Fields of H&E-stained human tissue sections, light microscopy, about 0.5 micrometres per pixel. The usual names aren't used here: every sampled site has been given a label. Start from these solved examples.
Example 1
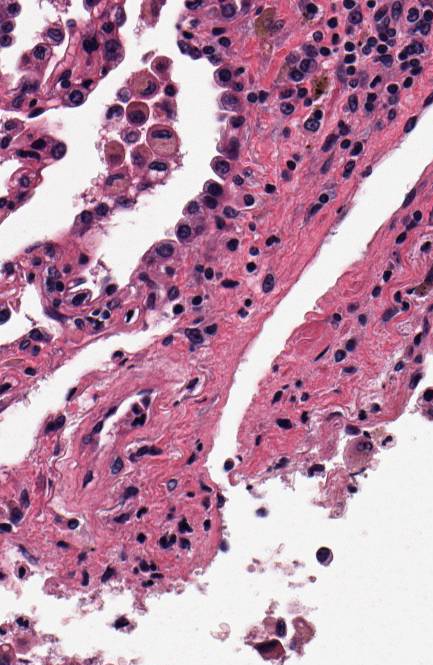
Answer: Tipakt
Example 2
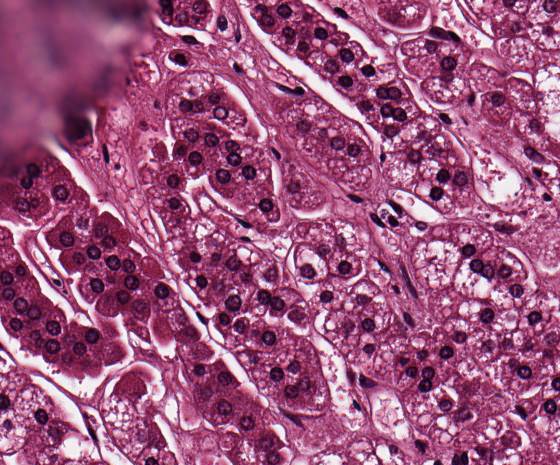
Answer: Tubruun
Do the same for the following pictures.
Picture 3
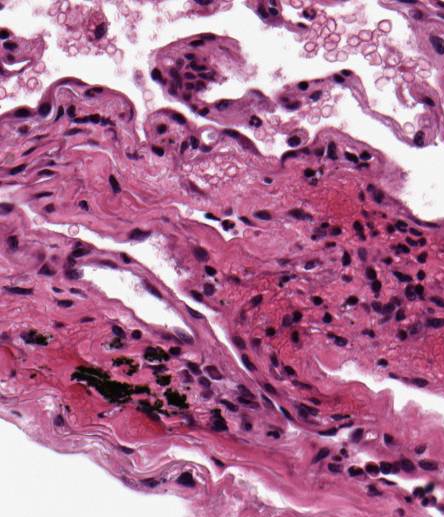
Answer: Tipakt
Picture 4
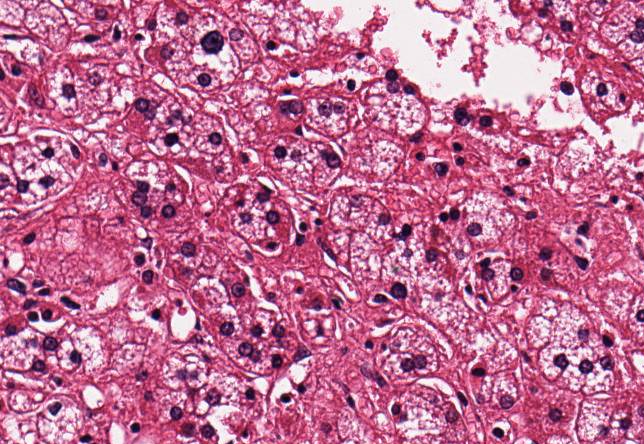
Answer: Tubruun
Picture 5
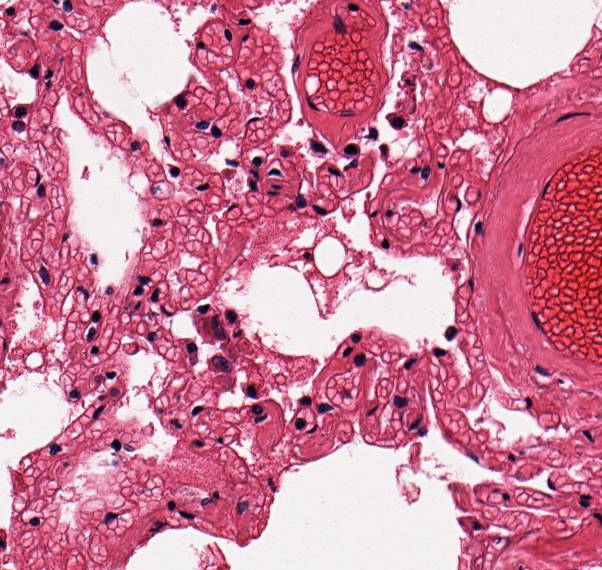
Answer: Tipakt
